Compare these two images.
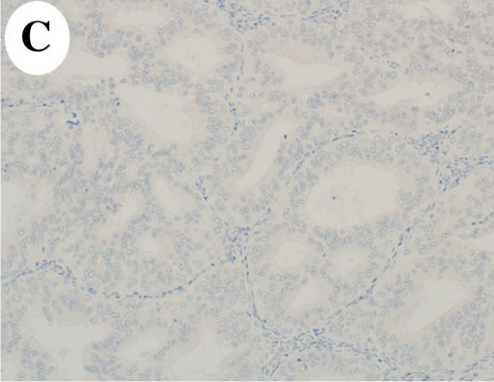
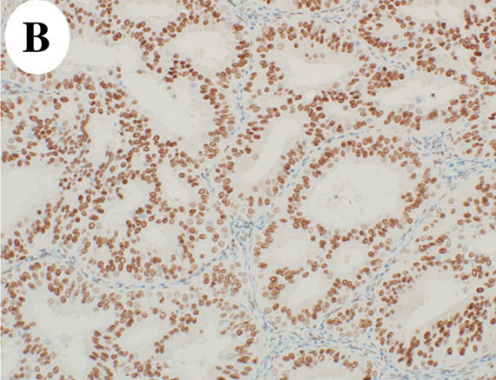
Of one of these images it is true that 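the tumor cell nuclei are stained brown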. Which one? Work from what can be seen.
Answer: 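The second image. First image: gland-lining nuclei are pale blue with no brown stain. Second image: nearly all gland-lining nuclei are stained brown.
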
